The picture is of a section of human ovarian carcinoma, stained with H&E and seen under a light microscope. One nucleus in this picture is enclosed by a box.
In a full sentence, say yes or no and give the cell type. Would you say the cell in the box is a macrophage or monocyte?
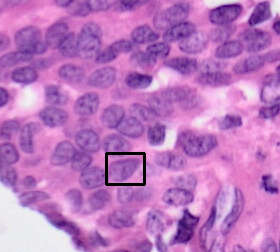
No, just to correct that, the cell in the box is a carcinoma cell and not a macrophage or monocyte.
